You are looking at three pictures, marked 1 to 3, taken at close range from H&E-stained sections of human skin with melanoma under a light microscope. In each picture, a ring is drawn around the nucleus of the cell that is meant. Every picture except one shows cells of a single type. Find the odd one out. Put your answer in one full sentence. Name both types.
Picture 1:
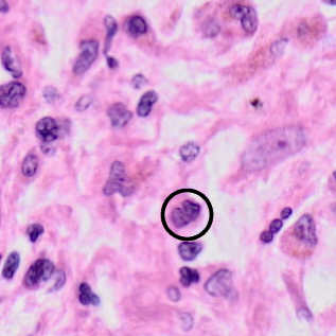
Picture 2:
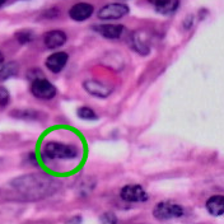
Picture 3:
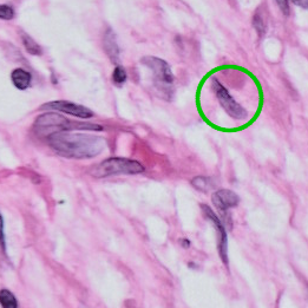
All pictures except 2 show “macrophages or monocytes”; picture 2 shows a plasma cell.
